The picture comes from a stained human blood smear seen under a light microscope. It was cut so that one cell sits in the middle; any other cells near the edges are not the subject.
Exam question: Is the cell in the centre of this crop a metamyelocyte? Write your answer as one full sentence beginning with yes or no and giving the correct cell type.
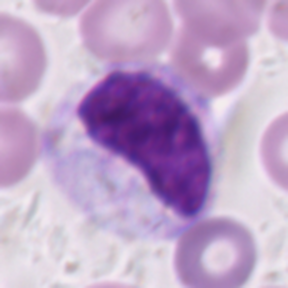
Yes, as for the central cell, it is a metamyelocyte.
